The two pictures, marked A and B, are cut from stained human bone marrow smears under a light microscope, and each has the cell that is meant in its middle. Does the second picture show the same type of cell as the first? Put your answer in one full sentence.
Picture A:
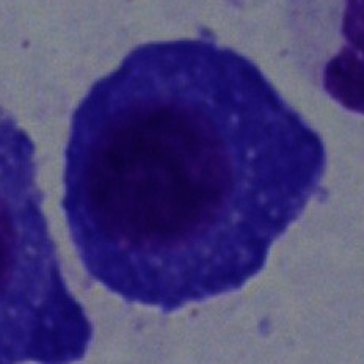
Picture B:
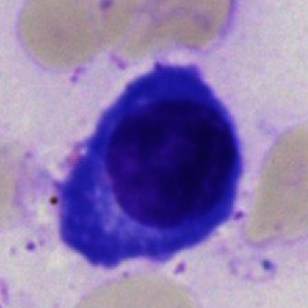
Yes, the two pictures both show plasma cells.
